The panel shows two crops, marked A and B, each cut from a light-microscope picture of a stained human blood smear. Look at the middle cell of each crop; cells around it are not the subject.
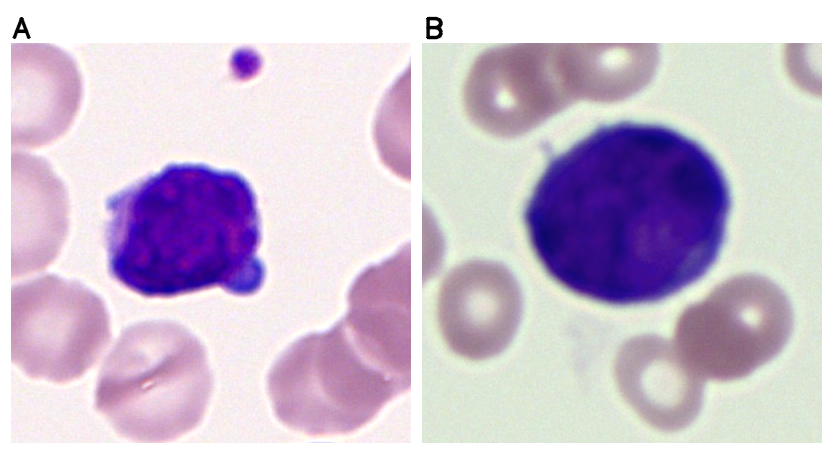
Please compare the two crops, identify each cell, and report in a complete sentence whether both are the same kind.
No, a blast is in crop B, and a lymphocyte is in crop A.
